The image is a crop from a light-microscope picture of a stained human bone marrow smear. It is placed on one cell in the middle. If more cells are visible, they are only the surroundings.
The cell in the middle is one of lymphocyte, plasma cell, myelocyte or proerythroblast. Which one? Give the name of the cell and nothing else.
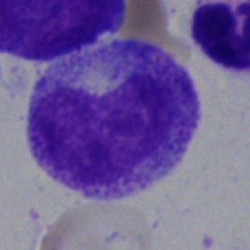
myelocyte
